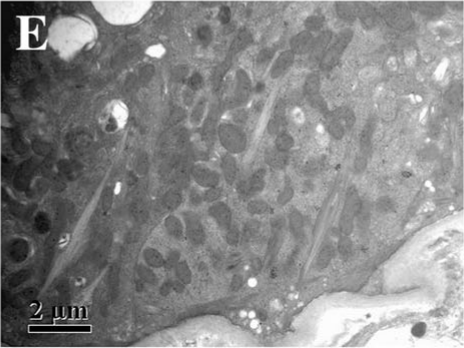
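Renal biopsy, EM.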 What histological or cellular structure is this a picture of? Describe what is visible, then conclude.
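Long, straight, spindle-shaped profiles cross the cytoplasm. They lie among numerous oval mitochondria. That points to this answer: Crystals.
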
